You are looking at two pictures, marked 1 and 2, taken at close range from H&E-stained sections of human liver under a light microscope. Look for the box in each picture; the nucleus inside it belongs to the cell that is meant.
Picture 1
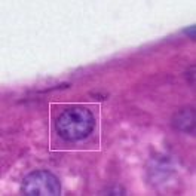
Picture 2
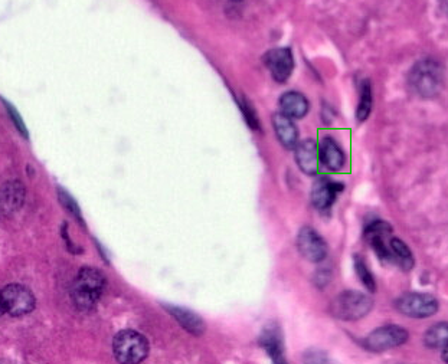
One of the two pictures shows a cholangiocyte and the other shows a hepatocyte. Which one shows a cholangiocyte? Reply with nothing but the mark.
2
